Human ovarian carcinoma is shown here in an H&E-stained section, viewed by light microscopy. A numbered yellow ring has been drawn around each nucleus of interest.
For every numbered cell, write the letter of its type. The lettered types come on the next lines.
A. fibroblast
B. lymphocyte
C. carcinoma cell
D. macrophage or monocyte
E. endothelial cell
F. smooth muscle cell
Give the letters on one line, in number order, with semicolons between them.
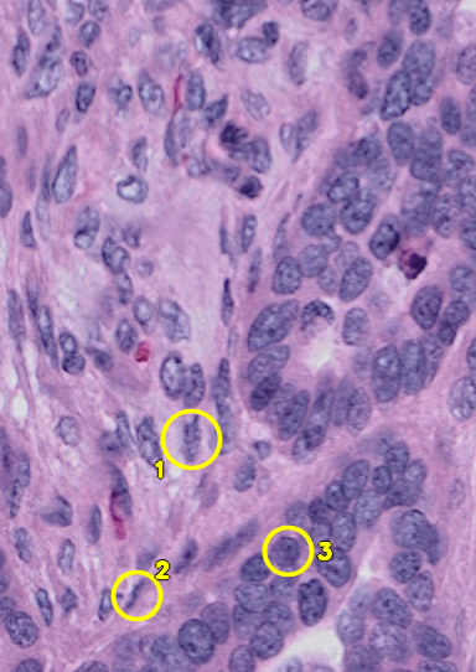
A; A; C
